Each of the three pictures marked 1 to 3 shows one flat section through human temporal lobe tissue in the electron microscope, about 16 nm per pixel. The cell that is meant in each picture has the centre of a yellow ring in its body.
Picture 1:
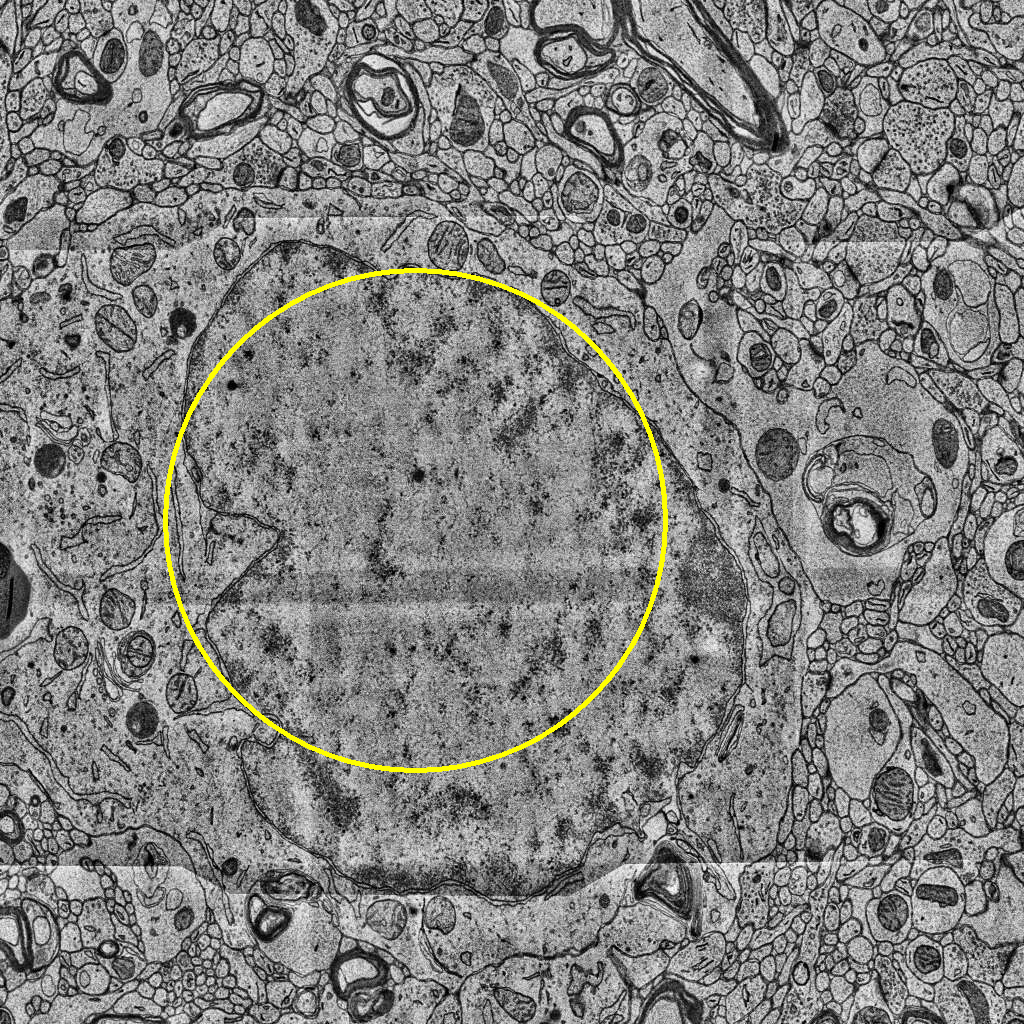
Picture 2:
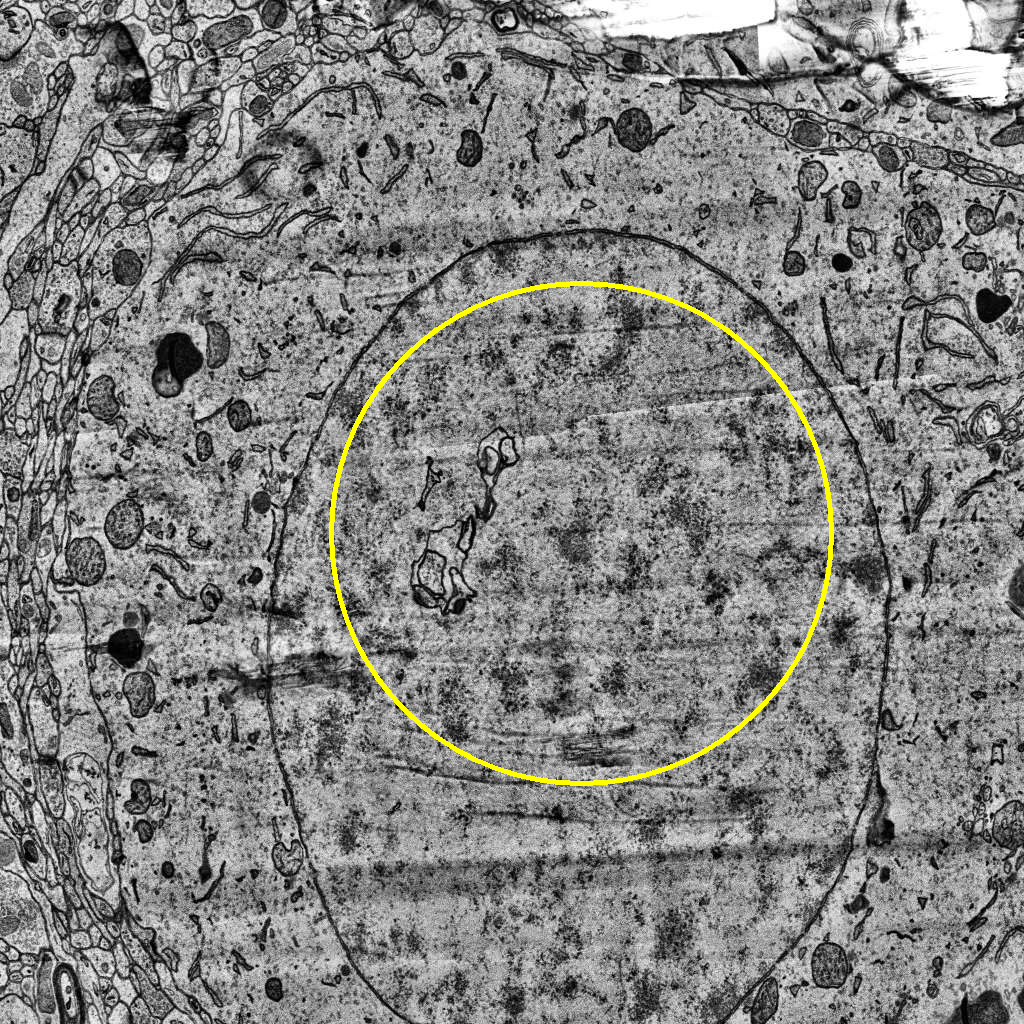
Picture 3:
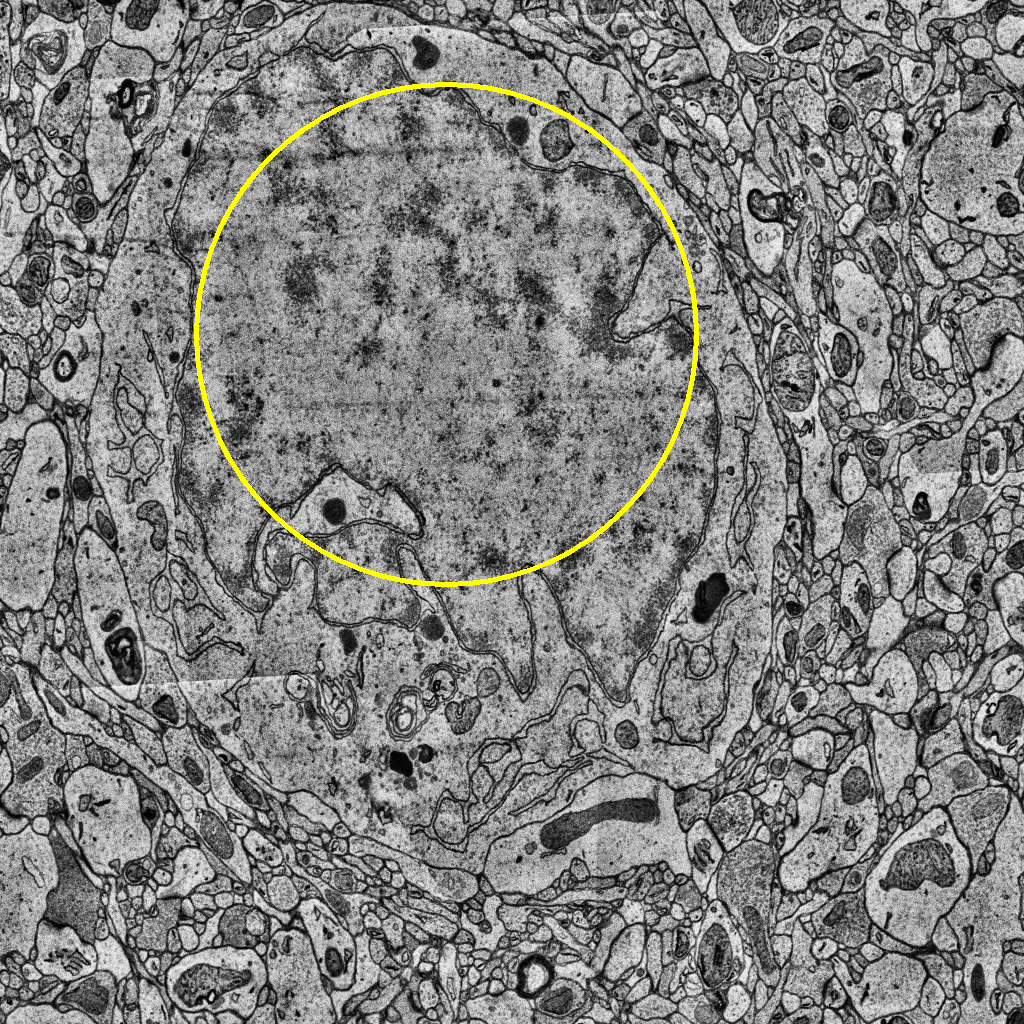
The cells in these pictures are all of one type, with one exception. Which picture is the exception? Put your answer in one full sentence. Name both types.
All pictures except 2 show interneurons; picture 2 shows a pyramidal neuron.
